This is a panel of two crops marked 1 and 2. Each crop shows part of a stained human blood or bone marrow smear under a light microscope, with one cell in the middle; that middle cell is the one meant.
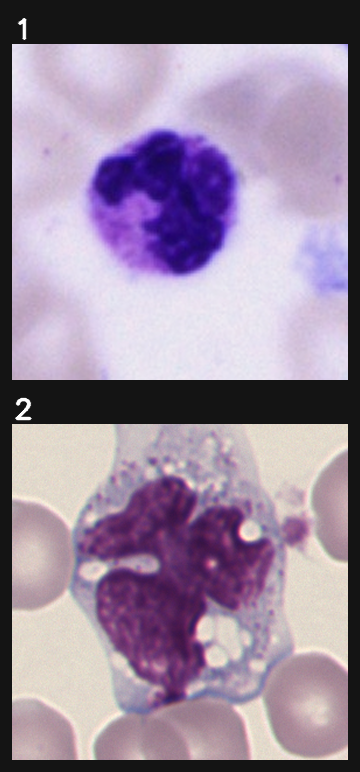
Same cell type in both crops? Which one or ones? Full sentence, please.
No, as for crop 1, it shows a segmented neutrophil, and crop 2 shows a monocyte.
